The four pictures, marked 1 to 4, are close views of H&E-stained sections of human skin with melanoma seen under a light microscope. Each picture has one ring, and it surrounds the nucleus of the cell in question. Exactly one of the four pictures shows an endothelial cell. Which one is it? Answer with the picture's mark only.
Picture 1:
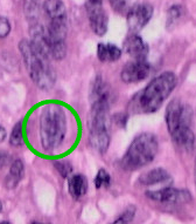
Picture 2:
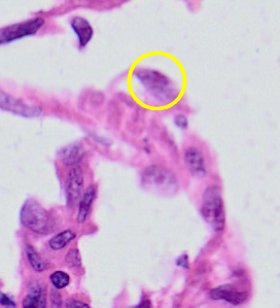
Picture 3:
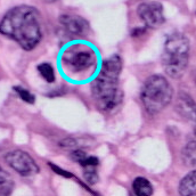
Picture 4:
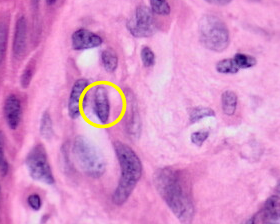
4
